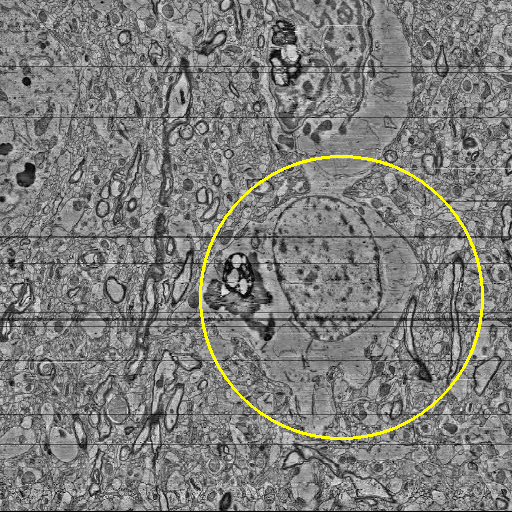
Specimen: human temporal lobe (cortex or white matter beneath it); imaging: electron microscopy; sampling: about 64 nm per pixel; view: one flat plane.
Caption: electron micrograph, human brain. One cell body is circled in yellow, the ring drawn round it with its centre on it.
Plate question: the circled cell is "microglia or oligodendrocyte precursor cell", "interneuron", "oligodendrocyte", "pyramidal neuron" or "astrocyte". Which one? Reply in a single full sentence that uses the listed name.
The yellow ring on the plate is centred on an astrocyte, going by the listed names.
